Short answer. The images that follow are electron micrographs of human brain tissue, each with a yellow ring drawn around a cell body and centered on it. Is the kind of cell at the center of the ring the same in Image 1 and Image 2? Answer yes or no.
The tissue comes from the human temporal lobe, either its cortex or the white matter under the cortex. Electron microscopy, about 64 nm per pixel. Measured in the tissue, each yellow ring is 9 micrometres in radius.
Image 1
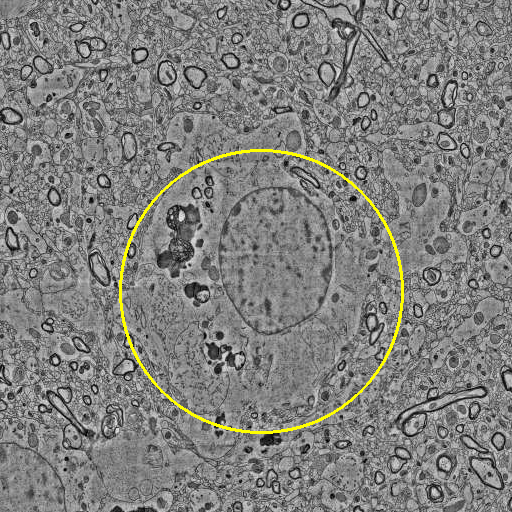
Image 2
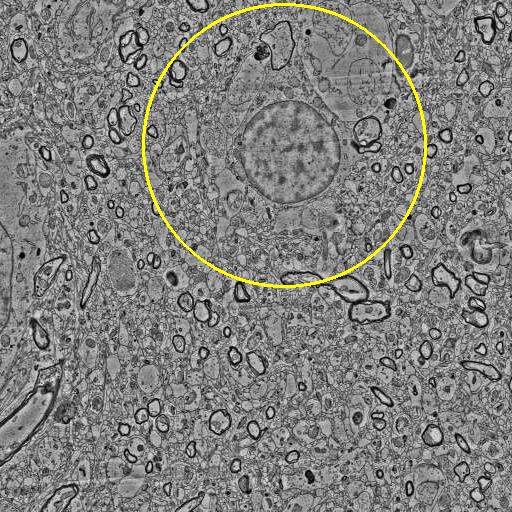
no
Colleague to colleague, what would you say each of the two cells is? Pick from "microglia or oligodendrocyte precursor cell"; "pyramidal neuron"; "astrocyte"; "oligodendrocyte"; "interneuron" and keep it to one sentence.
The cell in the first picture is an astrocyte; the second picture's cell is an oligodendrocyte.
